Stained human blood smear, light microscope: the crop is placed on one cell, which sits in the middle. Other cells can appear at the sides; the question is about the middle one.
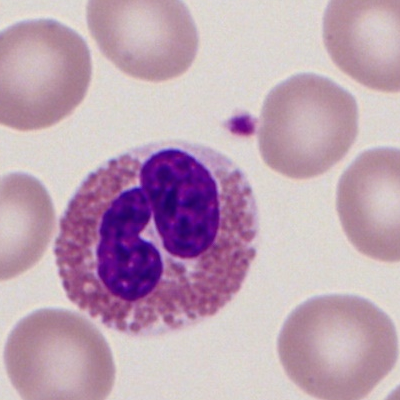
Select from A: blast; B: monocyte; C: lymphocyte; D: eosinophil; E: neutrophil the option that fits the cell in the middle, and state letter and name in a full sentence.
Option D is to be chosen, as the central cell is an eosinophil.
